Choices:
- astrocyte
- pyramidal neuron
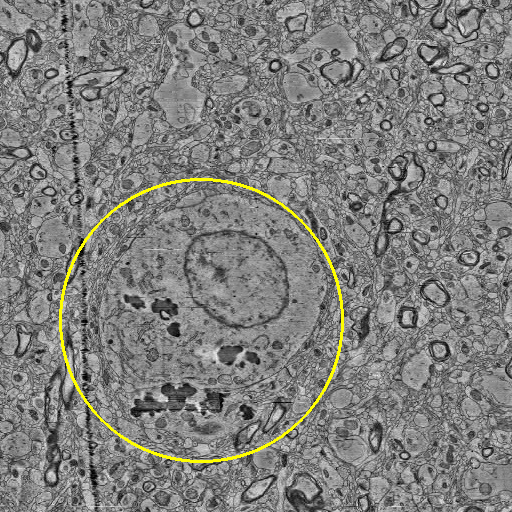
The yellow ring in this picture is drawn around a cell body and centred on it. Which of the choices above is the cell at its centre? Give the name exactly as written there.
pyramidal neuron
